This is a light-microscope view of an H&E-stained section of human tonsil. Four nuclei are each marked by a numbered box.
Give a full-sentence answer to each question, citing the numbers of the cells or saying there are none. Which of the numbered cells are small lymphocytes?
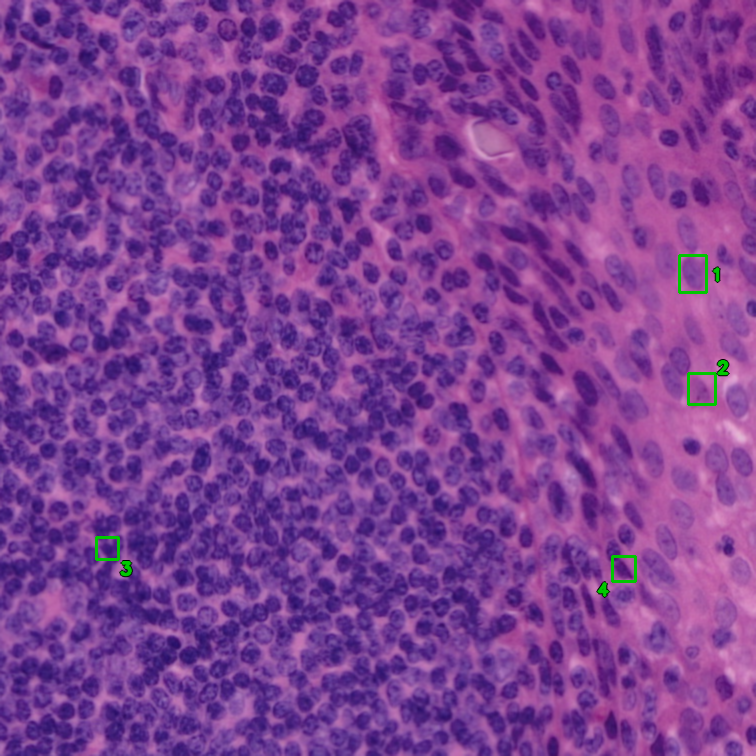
Only the nucleus marked 3 is that of a small lymphocyte.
